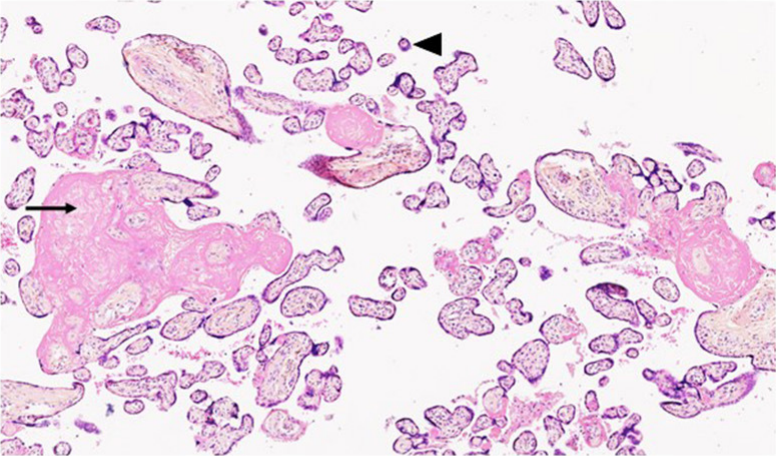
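This shows chorionic villi of the placenta, cut across as many small rounded and elongated profiles with purple-stained borders. Several large villi with pale stroma lie among them. Large masses of glassy, homogeneous pink material sit between the villi and enclose several of them. Many of the smaller villi are slender and widely spaced, leaving much empty space between them.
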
